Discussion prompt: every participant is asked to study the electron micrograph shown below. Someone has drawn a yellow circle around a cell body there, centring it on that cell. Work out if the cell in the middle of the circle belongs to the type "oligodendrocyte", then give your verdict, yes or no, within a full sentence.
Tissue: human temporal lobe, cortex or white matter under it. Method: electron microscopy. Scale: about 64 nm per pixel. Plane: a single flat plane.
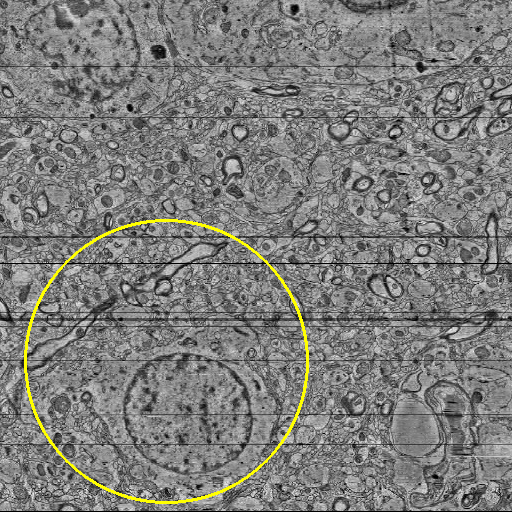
No, my verdict is that the cell in the circle's centre is of a different type.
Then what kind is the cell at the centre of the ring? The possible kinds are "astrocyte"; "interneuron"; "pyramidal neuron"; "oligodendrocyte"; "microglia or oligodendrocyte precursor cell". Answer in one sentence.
The correct answer is that the cell is an astrocyte.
